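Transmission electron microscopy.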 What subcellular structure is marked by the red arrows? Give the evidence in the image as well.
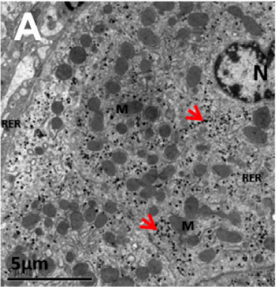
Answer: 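Small, very electron-dense black dots are scattered through the cytoplasm. The red arrows point at these dots between mitochondria. So: glycogen granules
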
